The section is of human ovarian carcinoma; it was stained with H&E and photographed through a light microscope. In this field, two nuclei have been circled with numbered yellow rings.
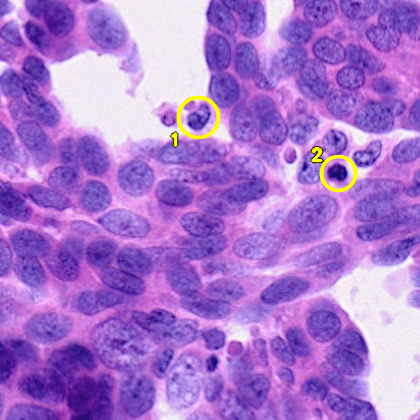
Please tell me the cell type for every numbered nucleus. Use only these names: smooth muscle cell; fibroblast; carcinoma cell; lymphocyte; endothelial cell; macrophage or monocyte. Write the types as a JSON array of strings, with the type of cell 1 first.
["macrophage or monocyte", "lymphocyte"]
